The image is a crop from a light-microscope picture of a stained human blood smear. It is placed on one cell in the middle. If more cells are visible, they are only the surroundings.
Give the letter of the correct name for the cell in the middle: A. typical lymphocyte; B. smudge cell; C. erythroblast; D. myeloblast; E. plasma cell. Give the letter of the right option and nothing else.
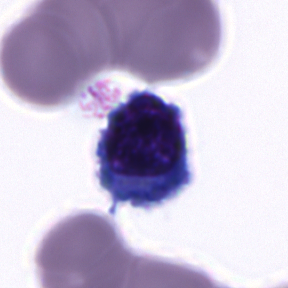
E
